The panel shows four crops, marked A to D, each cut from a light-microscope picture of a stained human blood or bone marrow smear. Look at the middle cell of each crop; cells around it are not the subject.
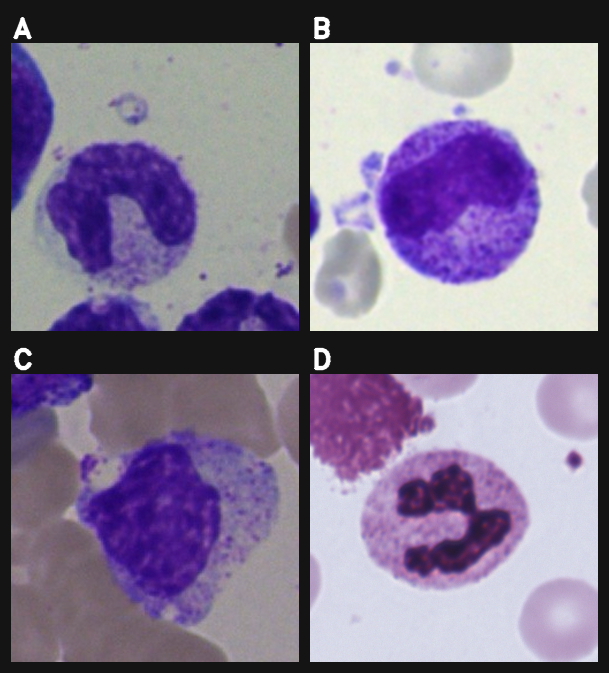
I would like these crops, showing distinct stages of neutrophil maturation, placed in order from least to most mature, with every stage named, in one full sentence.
Taken from least to most mature, the sequence is crop C (a myelocyte), crop B (a metamyelocyte), crop A (a band neutrophil) and crop D (a segmented neutrophil).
